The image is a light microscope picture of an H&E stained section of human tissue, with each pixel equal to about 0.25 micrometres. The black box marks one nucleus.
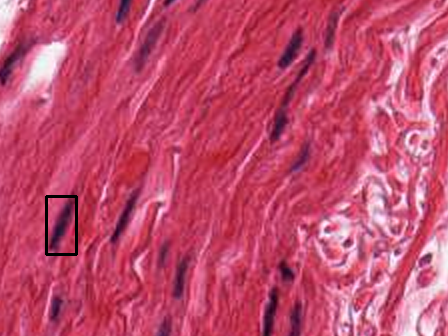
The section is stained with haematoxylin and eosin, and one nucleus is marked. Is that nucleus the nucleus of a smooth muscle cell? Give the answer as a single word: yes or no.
yes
